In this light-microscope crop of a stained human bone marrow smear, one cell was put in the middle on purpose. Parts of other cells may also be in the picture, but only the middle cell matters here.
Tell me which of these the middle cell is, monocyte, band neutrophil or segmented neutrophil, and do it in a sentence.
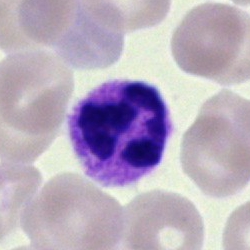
By type, the central cell of the crop is a segmented neutrophil.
